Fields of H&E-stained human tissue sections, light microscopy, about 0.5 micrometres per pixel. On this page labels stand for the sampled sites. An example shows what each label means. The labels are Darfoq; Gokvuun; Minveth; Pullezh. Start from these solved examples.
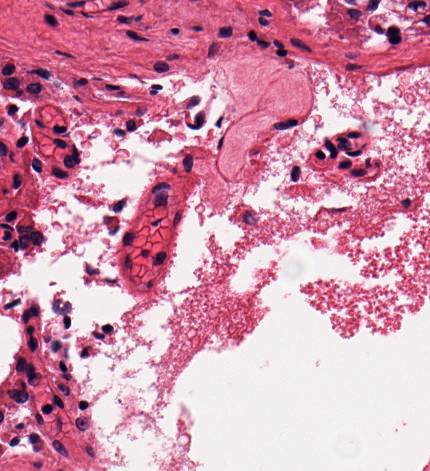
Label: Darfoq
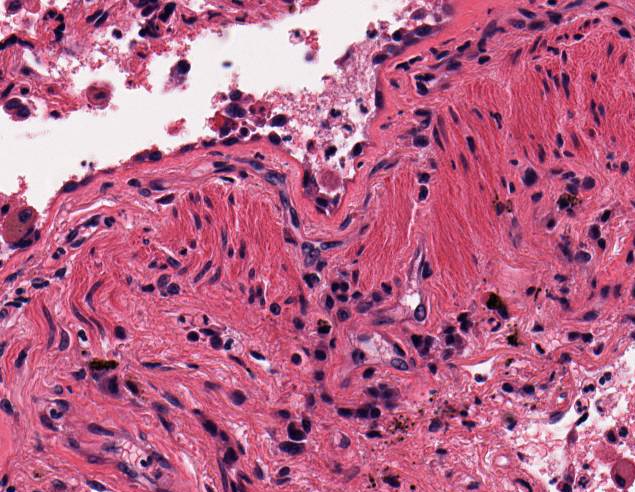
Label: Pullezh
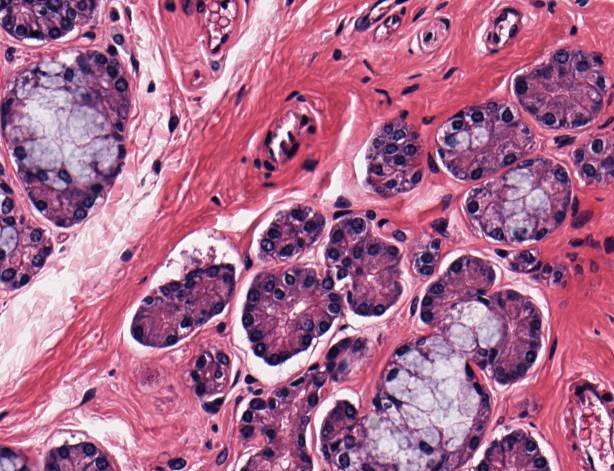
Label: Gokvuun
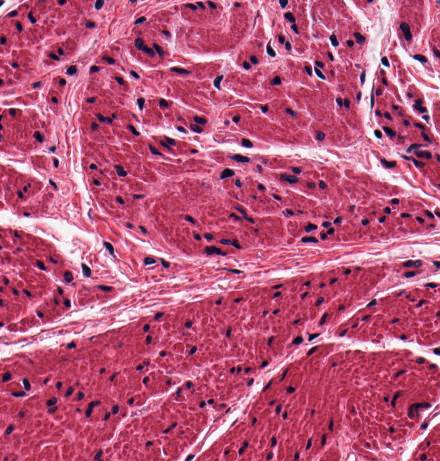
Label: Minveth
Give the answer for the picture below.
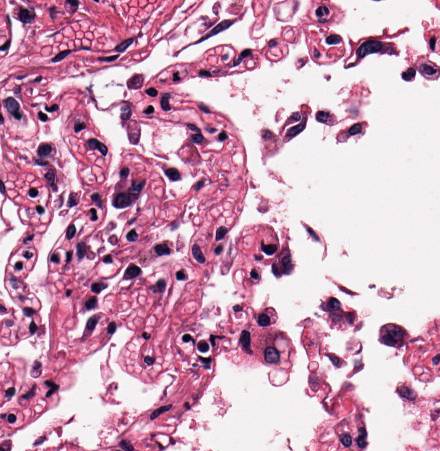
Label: Pullezh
